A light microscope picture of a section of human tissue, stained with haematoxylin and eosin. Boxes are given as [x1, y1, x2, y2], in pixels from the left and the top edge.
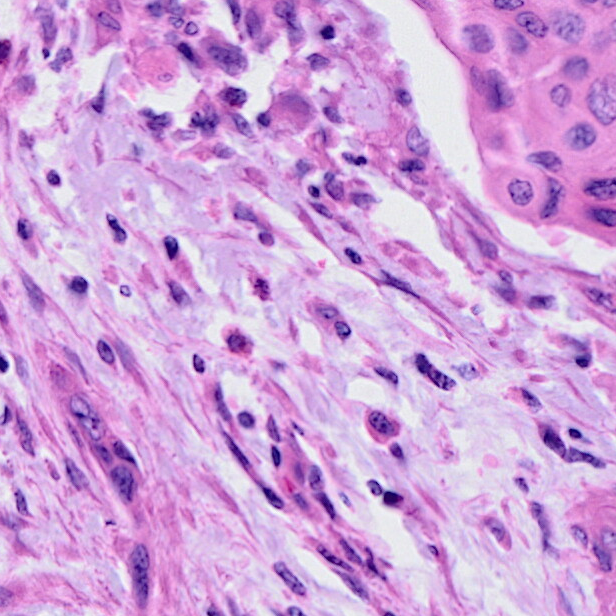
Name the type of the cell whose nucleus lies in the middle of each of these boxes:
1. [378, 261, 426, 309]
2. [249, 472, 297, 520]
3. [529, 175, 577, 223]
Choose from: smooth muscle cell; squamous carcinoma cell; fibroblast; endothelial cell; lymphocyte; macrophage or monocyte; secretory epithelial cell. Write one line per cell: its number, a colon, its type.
1: fibroblast
2: lymphocyte
3: squamous carcinoma cell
